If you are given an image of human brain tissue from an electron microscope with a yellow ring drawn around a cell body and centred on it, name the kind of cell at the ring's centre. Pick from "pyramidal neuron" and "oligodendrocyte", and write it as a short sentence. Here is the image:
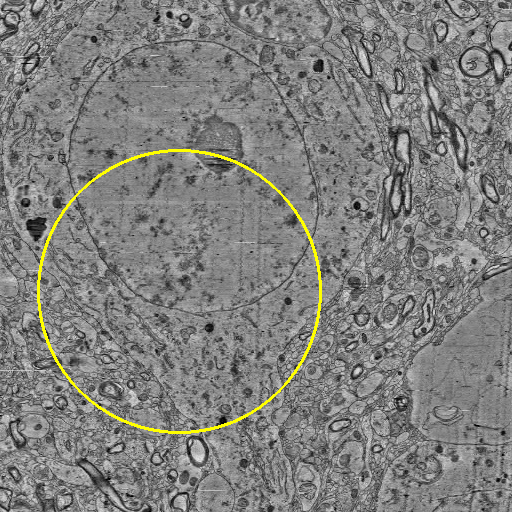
The cell at the ring's centre is a pyramidal neuron.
